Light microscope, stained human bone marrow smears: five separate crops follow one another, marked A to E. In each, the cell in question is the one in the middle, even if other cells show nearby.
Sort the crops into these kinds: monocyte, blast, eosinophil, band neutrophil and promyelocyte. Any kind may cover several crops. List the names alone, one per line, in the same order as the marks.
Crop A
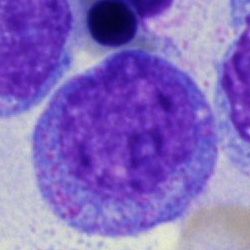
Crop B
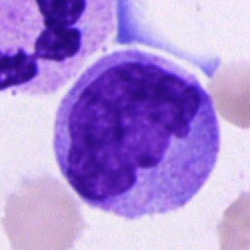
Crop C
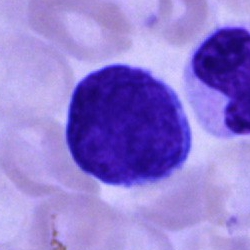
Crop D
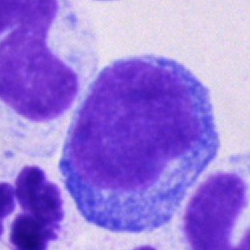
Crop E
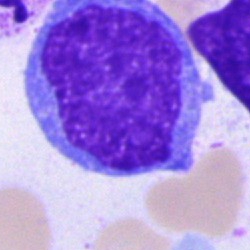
promyelocyte
monocyte
blast
blast
blast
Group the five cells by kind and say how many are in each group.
blast: 3
promyelocyte: 1
monocyte: 1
